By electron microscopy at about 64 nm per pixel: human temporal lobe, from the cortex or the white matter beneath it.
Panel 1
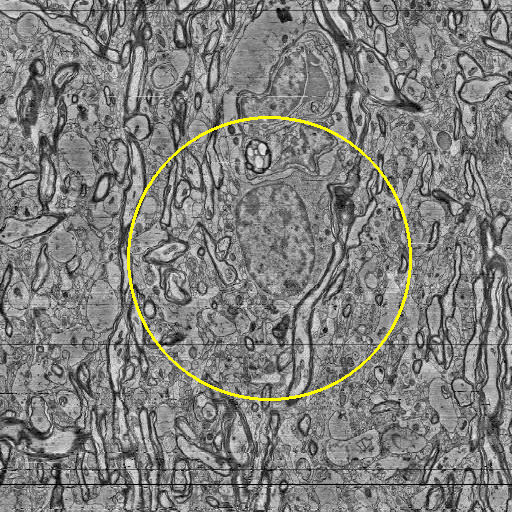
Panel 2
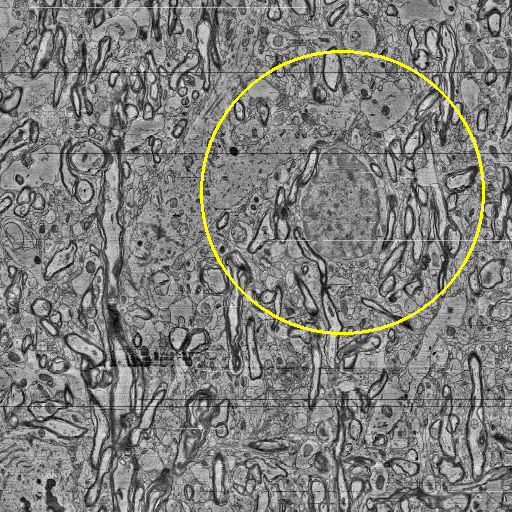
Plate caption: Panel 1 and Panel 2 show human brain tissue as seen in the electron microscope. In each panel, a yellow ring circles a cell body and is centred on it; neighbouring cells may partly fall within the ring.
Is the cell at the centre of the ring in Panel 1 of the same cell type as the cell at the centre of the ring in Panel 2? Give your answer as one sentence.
Yes, the two cells are of the same type.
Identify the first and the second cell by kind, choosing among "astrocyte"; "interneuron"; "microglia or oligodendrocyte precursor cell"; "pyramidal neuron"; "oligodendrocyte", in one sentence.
Each of the two rings is centred on an oligodendrocyte.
